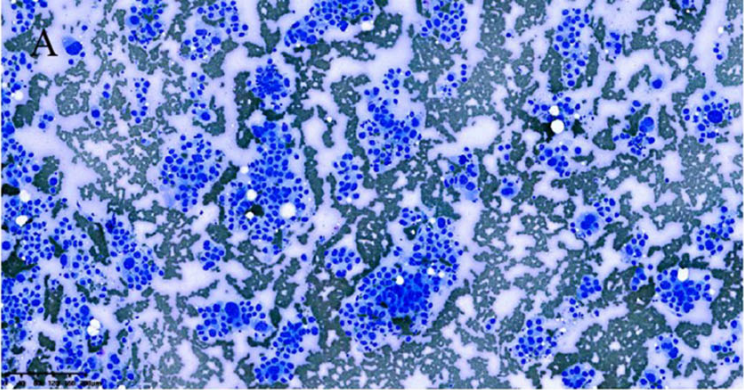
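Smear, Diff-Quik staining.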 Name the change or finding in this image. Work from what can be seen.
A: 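Dense grey-green streaks of red blood cells fill the spaces between the cell clusters.
Conclusion: bloody background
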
